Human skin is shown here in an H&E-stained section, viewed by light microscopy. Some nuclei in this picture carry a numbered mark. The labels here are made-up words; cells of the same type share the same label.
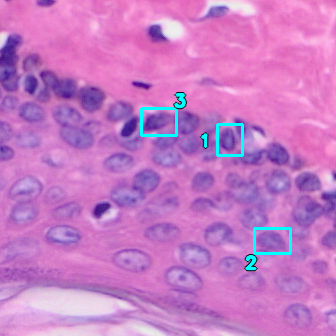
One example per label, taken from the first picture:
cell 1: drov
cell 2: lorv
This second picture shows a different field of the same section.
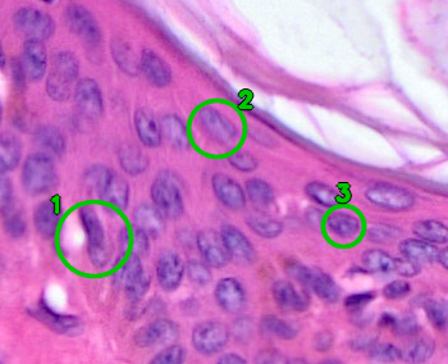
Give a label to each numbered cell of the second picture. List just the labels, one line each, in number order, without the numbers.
drov
lorv
lorv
